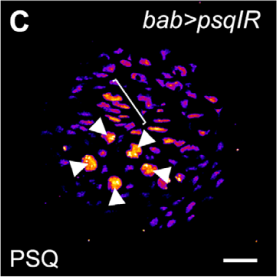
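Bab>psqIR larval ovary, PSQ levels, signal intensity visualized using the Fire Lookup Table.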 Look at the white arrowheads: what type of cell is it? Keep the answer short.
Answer: Germ cells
